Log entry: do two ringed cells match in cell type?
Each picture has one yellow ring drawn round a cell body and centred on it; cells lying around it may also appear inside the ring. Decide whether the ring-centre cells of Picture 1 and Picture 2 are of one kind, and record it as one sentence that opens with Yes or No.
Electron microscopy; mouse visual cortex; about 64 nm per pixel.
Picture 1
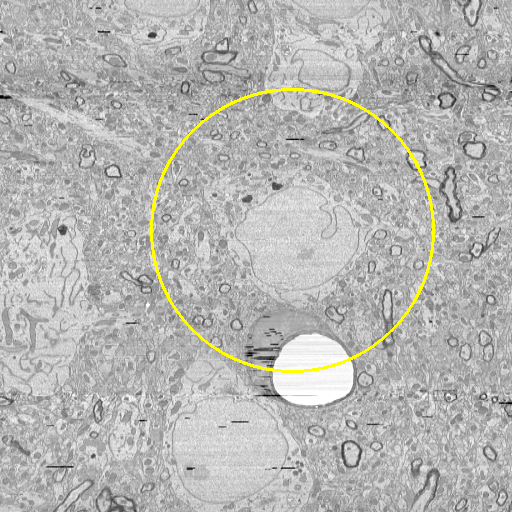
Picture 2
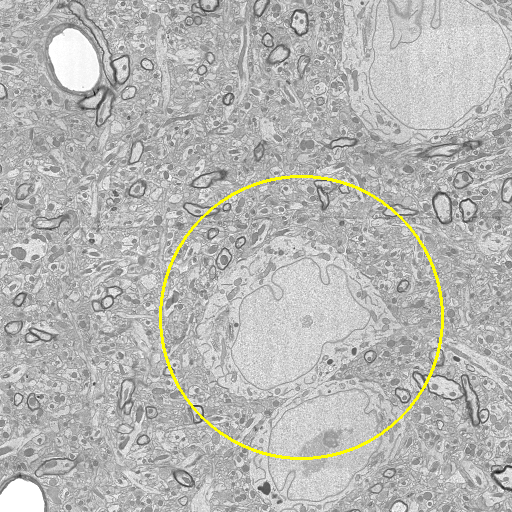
Yes, the cells at the ring centres of the two pictures belong to one kind.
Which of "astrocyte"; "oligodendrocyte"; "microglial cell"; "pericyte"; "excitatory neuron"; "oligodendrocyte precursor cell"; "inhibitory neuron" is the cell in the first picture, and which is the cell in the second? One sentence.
Each one of the two ringed cells is an excitatory neuron.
